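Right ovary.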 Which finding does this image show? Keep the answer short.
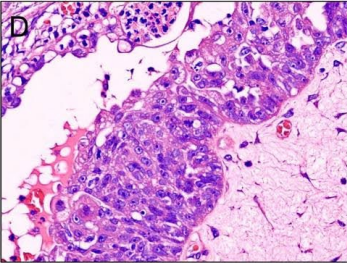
Markedly cellular atypia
